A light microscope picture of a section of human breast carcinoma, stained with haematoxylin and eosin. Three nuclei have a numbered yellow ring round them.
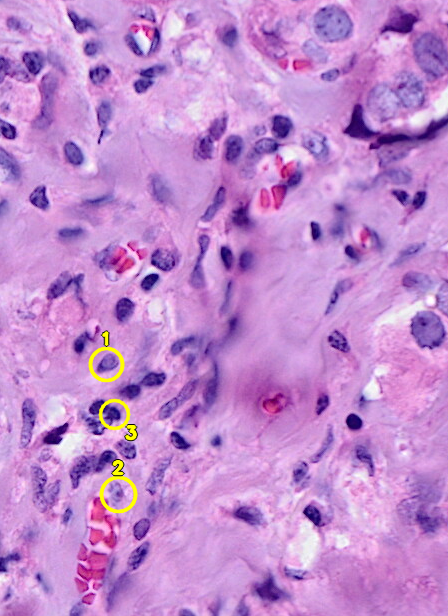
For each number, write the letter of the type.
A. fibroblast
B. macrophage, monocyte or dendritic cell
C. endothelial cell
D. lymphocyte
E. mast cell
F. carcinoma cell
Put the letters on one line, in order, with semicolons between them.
D; C; D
